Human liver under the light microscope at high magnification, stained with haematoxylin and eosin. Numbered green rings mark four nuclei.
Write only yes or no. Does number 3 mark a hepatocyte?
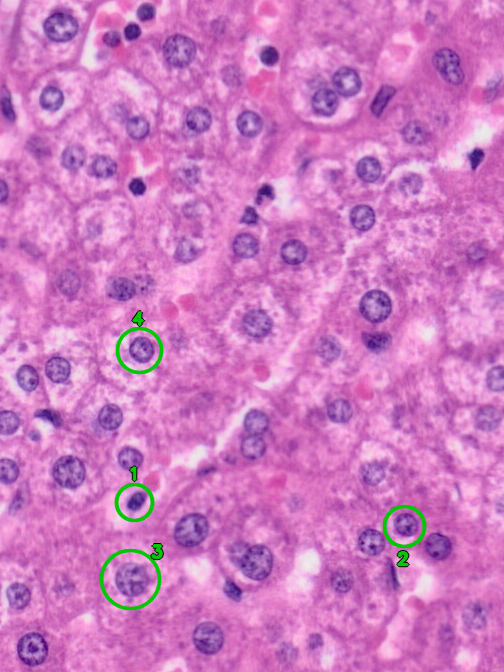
yes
